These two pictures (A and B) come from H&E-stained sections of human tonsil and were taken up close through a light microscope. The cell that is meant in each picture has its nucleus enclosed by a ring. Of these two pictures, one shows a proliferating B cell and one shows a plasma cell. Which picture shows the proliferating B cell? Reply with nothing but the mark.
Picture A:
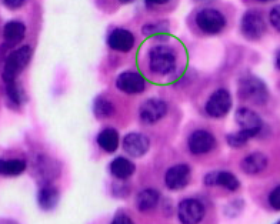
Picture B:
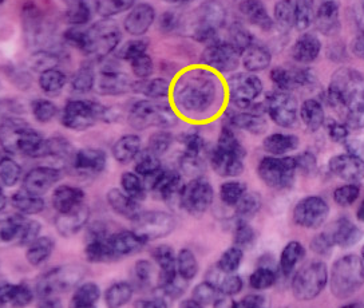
B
